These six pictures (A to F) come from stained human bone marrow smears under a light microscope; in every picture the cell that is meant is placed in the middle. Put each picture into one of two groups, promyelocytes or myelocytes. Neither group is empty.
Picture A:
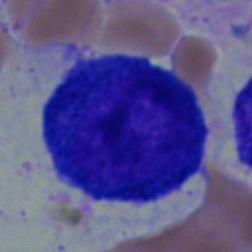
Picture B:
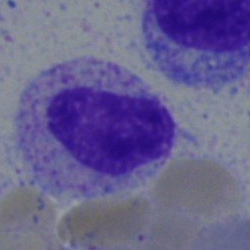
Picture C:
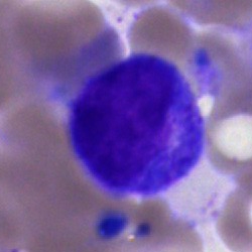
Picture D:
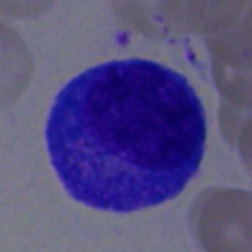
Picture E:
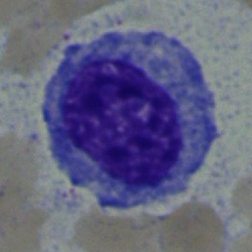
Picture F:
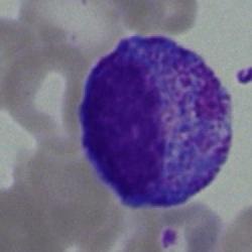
A: promyelocyte
B: myelocyte
C: promyelocyte
D: promyelocyte
E: myelocyte
F: promyelocyte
